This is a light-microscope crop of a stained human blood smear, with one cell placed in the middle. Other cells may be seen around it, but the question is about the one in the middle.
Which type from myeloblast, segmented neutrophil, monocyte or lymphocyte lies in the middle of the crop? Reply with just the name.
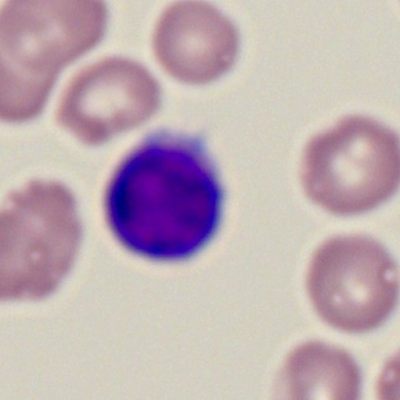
lymphocyte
